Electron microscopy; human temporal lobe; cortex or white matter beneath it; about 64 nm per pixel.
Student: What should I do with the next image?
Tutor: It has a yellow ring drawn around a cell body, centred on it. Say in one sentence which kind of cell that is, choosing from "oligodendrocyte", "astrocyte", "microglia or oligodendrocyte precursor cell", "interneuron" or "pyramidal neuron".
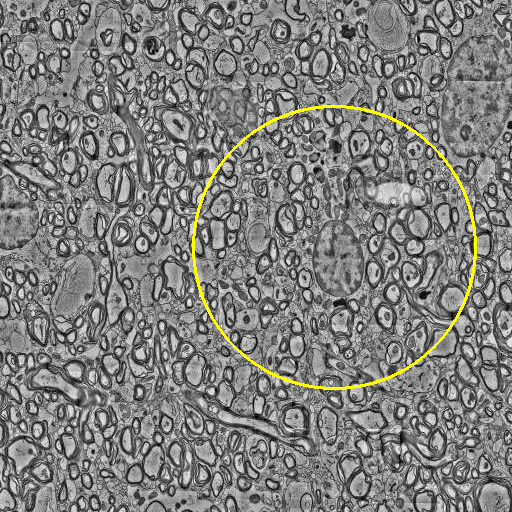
The ring's centre is occupied by a microglial cell or oligodendrocyte precursor cell.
